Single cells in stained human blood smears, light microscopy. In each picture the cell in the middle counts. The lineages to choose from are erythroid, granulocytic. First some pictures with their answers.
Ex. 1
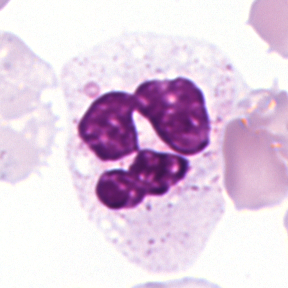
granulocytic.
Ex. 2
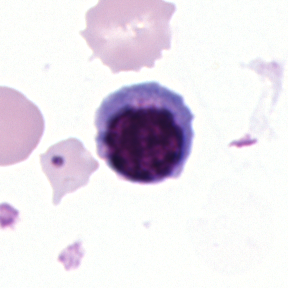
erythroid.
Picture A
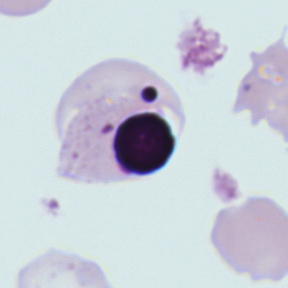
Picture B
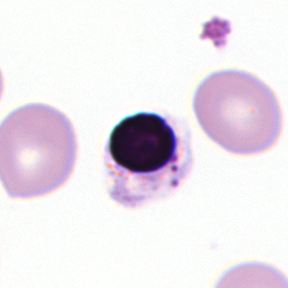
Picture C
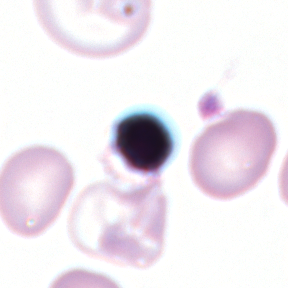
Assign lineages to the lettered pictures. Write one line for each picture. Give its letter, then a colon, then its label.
A: erythroid.
B: erythroid.
C: erythroid.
